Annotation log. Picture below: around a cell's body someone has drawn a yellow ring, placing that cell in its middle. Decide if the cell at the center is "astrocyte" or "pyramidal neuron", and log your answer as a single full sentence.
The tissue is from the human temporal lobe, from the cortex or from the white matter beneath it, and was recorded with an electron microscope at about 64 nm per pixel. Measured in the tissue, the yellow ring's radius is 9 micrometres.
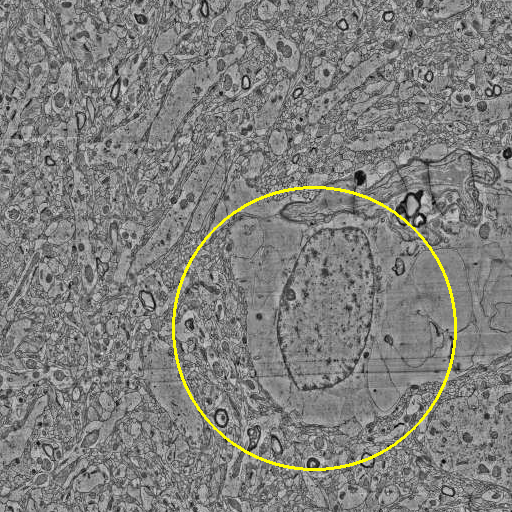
My entry records an astrocyte as the cell sitting at the center of the yellow ring.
